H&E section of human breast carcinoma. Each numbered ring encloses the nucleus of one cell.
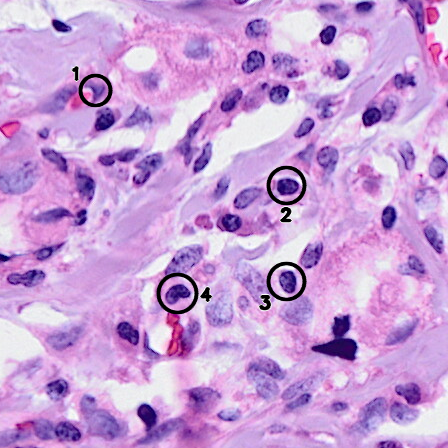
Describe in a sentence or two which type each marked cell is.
Cell 1 is an endothelial cell, cell 2 is a lymphocyte, cell 3 is a lymphocyte and cell 4 is a lymphocyte.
